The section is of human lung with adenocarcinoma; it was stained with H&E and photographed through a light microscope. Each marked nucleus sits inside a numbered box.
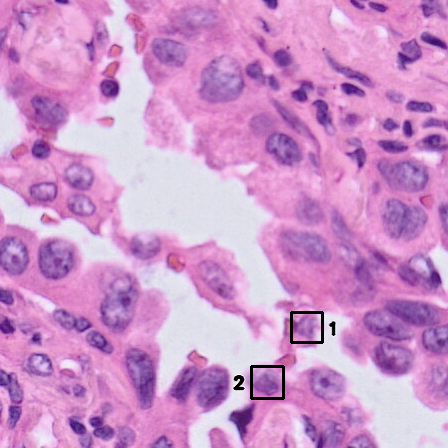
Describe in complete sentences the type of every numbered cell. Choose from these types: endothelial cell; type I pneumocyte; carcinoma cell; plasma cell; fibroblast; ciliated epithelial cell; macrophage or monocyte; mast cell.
Cell 1 is a macrophage or monocyte. Cell 2 is a carcinoma cell.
